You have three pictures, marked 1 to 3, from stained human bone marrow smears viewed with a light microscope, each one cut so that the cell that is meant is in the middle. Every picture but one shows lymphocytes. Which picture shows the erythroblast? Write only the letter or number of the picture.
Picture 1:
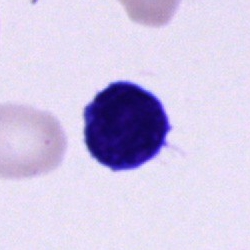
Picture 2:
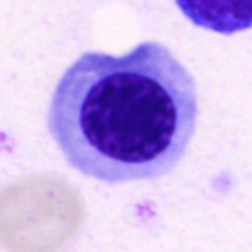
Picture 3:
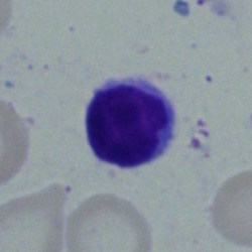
2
